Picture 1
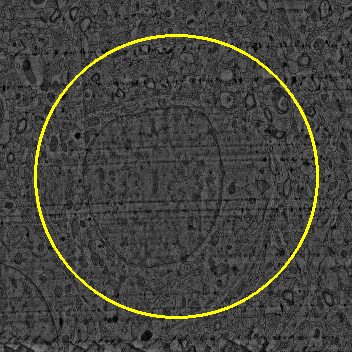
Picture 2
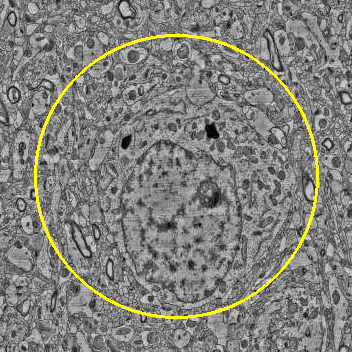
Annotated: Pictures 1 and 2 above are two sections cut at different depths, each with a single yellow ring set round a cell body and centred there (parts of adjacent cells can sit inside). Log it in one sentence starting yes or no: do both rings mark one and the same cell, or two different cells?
No, the rings identify two cells, not one shared cell.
